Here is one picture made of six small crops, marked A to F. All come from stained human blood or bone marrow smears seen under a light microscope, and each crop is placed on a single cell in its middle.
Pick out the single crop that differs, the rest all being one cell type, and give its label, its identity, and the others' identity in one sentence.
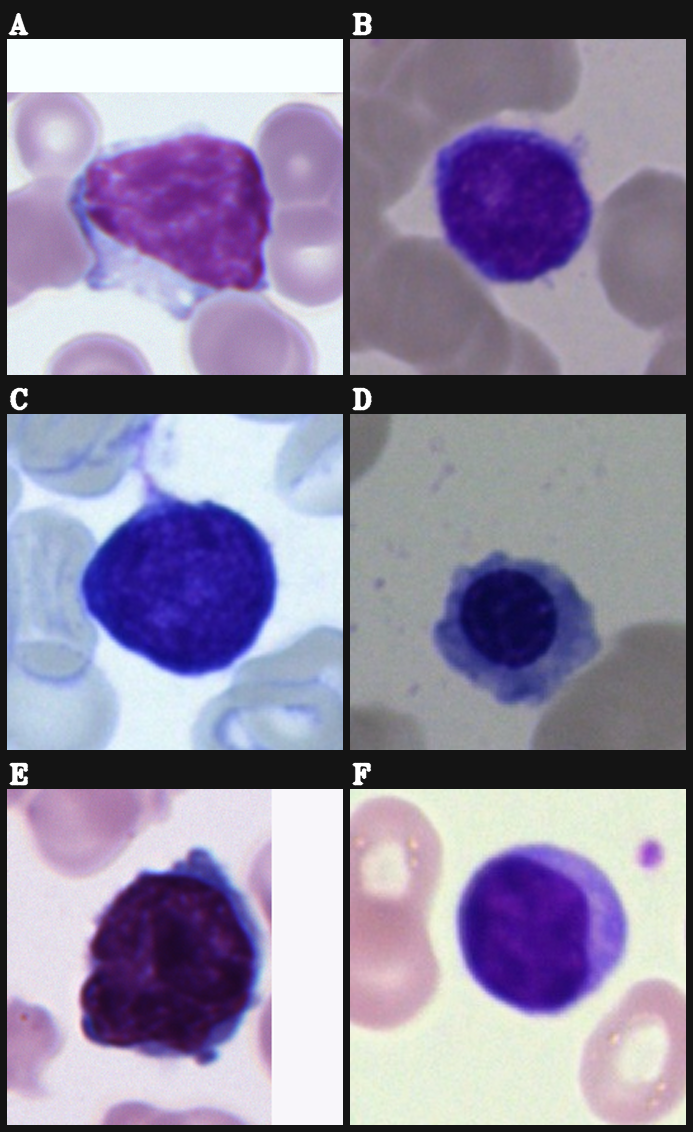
Differing from the rest, crop D shows an erythroblast; the others all show lymphocytes.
